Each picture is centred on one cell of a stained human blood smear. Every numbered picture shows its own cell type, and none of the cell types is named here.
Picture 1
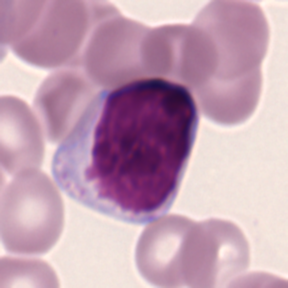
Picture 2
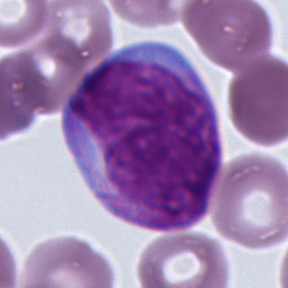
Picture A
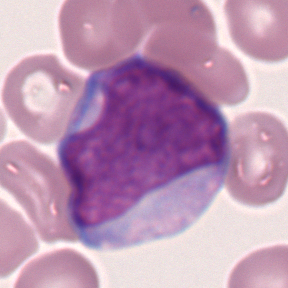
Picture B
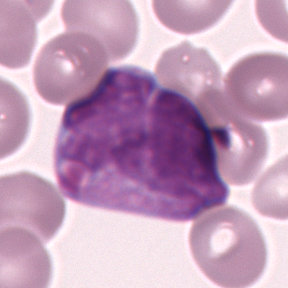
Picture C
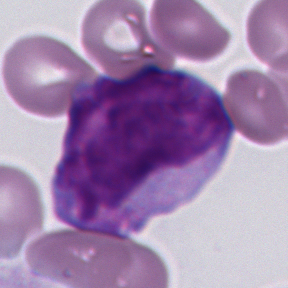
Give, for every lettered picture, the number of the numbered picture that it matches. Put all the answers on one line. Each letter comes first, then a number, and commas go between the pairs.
A 2, B 2, C 2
